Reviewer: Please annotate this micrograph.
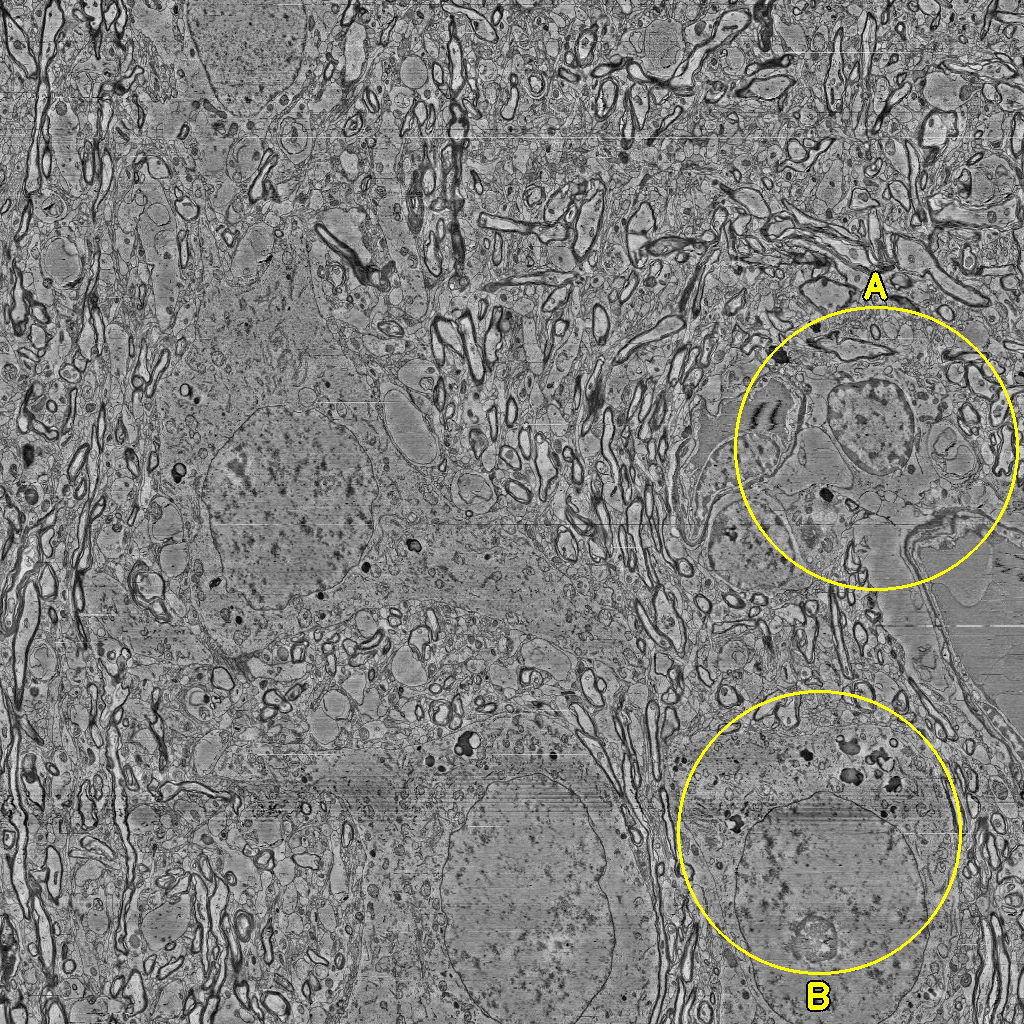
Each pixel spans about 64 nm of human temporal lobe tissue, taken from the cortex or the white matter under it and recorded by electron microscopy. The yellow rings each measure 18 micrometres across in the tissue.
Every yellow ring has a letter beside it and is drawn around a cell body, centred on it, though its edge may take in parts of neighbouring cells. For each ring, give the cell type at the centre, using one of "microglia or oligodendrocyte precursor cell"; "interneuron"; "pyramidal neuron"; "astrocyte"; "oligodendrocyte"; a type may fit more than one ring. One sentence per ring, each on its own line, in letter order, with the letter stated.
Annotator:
The cell in the middle of ring A is a microglial cell or oligodendrocyte precursor cell.
The cell in the middle of ring B is a pyramidal neuron.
